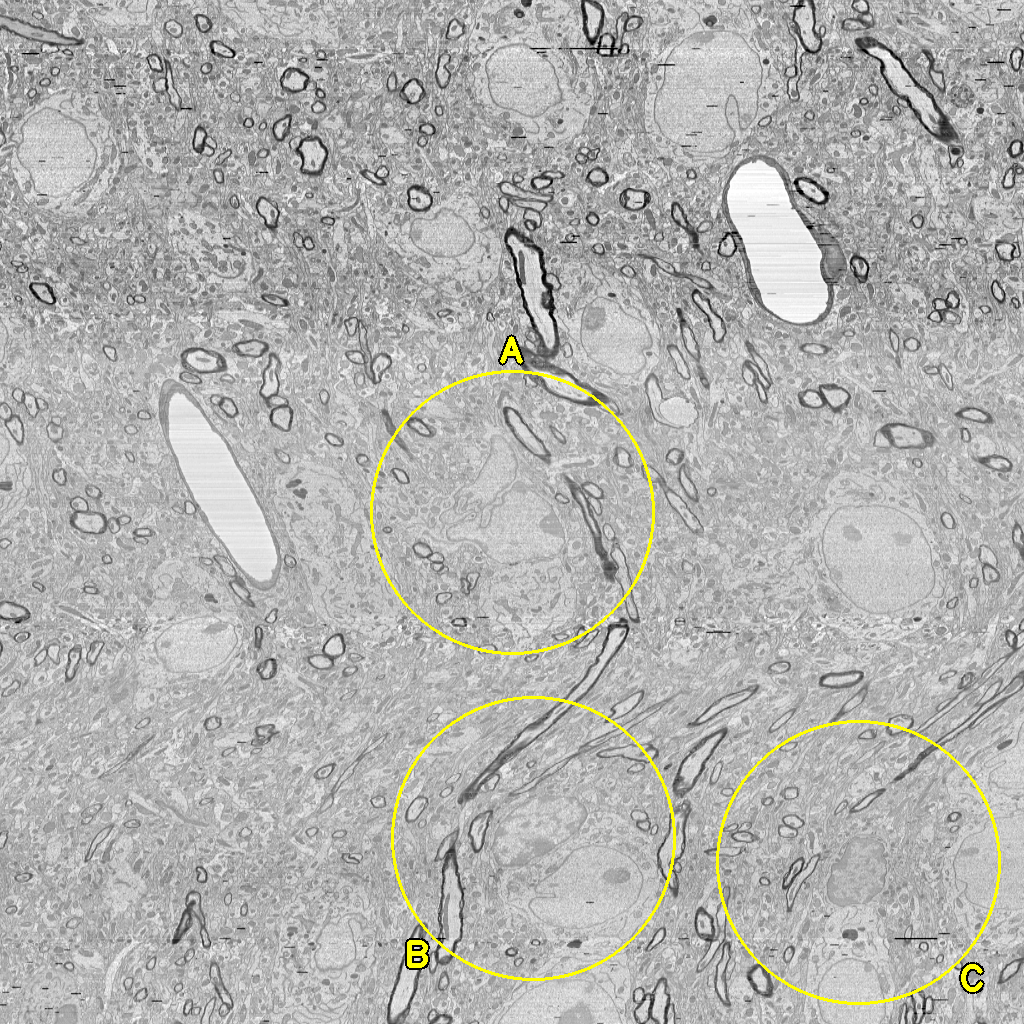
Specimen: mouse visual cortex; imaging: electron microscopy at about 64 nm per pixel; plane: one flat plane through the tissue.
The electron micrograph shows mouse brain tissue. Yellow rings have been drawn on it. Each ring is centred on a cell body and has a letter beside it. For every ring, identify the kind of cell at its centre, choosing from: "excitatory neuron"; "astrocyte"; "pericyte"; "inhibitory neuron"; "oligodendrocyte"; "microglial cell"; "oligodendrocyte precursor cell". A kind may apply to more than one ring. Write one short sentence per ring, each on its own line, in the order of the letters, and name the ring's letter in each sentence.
Ring A is centred on an oligodendrocyte precursor cell.
Ring B is centred on an oligodendrocyte.
Ring C is centred on a microglial cell.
